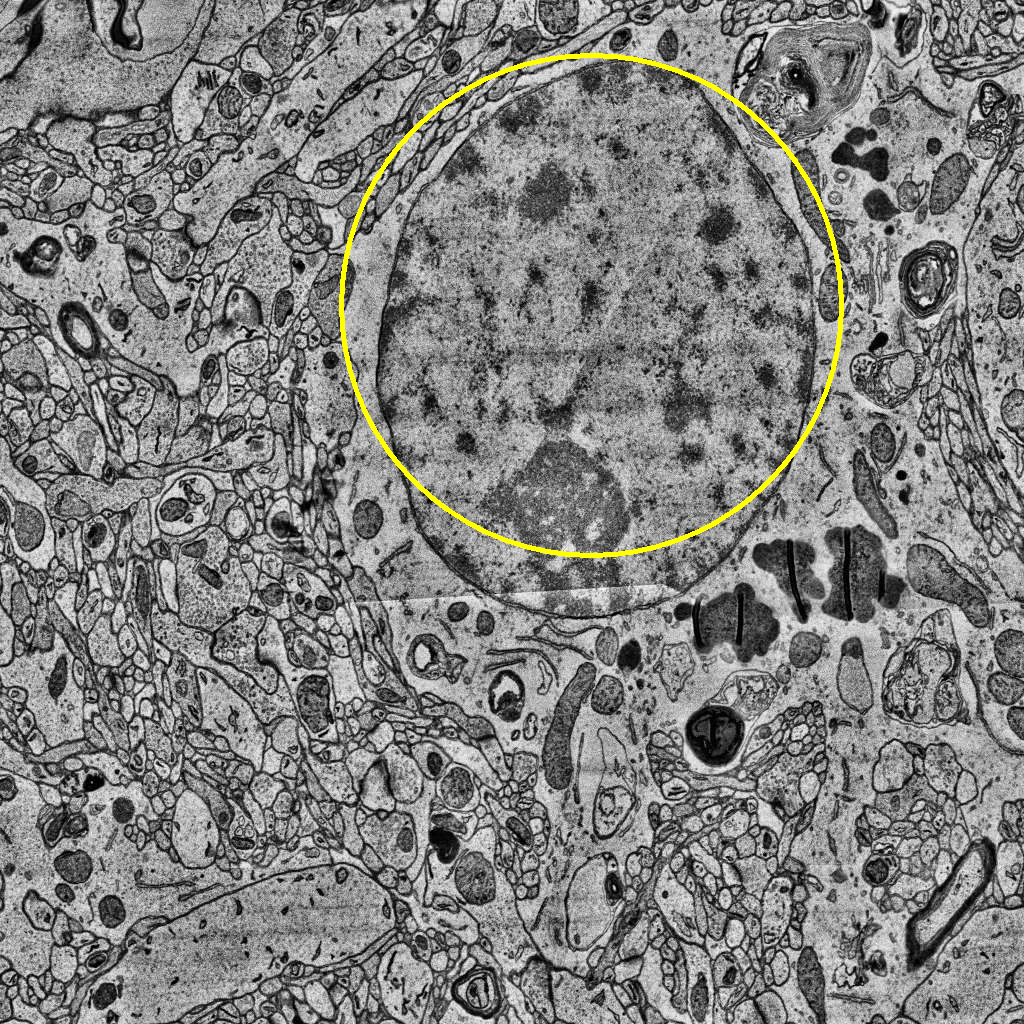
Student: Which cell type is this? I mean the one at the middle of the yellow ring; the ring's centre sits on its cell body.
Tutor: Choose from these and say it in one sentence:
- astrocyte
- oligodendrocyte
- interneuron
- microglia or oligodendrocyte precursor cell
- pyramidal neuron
The cell at the ring's centre is an astrocyte.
